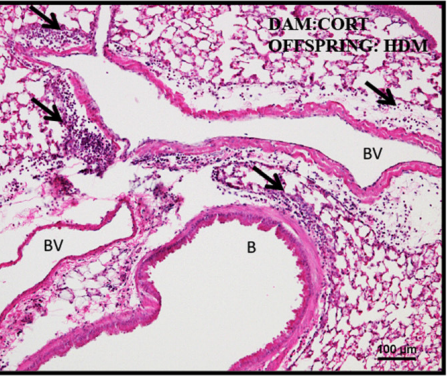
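This lung section shows a large airway lined by a pink epithelium, several blood vessels with thin pink walls, and surrounding alveolar tissue made of thin septa around clear air spaces. Around the airway and the vessels, the loose connective tissue is widened and packed with many small, round, dark purple nuclei, forming dense clusters. Some of these clusters spread into the neighbouring alveolar walls. Such dense collections of small dark nuclei around airways and vessels are a cellular infiltrate, here the immune cell infiltration of the lung.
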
